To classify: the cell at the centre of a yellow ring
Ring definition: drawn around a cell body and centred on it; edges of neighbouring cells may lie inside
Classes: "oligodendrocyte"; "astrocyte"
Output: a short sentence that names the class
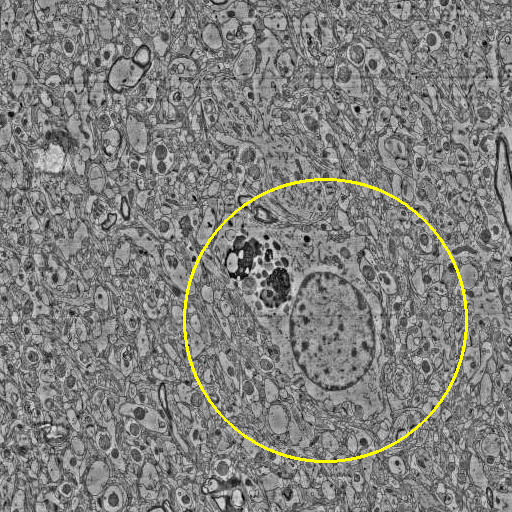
The ringed cell is an astrocyte.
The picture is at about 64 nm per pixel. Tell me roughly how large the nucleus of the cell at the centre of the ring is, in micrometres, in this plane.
The nucleus is approximately 8 micrometers long by 5 micrometers wide in this plane.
